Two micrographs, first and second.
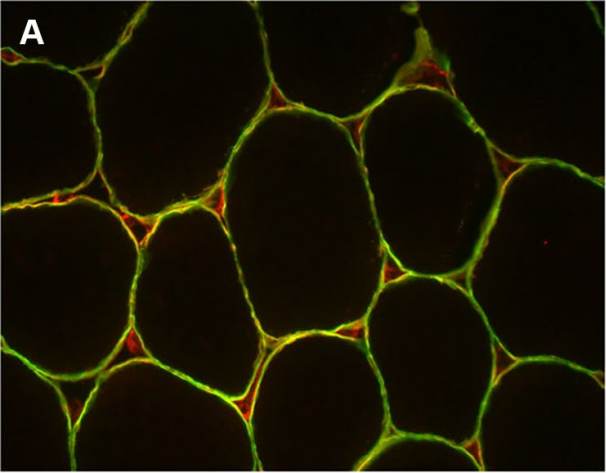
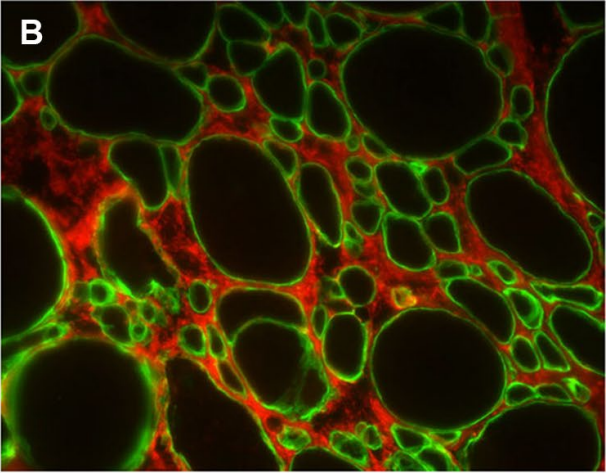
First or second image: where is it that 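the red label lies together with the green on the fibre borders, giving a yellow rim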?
the first image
